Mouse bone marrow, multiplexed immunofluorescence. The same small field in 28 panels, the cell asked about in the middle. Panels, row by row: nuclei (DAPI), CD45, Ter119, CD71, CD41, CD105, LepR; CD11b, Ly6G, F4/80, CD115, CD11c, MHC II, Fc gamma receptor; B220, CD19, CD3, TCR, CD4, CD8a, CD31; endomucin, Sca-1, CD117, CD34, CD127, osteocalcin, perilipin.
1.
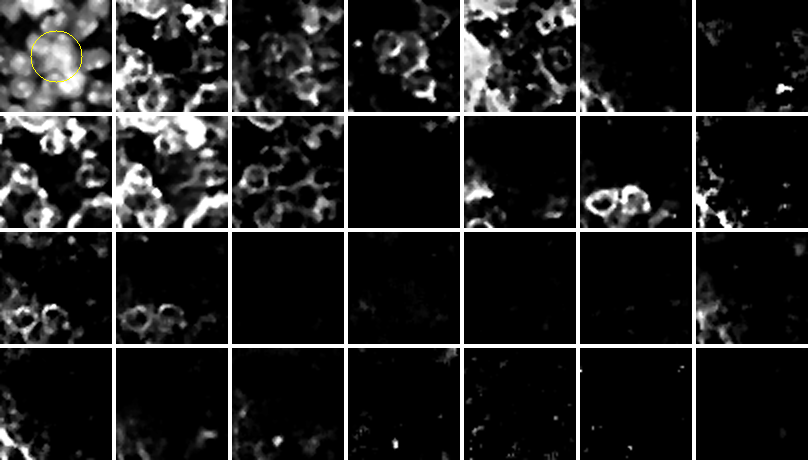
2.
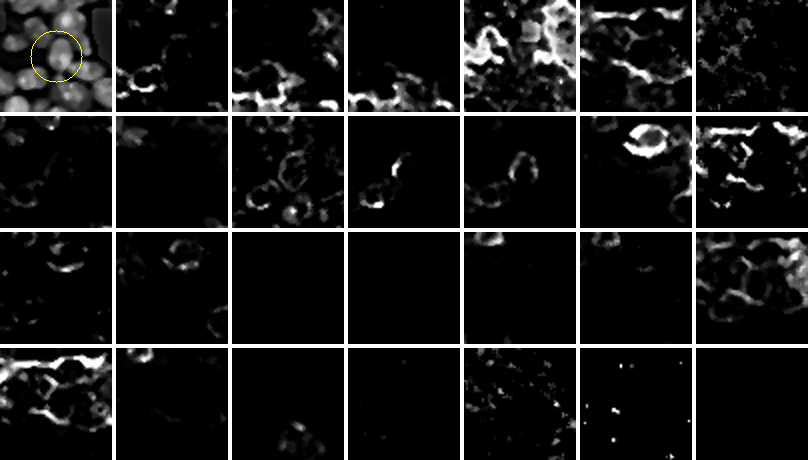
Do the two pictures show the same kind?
No: an erythroblast, then a capillary endothelial cell.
